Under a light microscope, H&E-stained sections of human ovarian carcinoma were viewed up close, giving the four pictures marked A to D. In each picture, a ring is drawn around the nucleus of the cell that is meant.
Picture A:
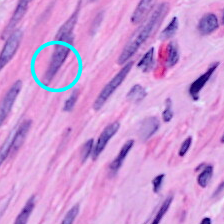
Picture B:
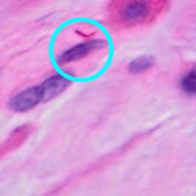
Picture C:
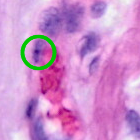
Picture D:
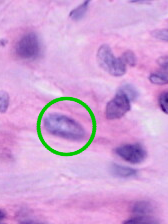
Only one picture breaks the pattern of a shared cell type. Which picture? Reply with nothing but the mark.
A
